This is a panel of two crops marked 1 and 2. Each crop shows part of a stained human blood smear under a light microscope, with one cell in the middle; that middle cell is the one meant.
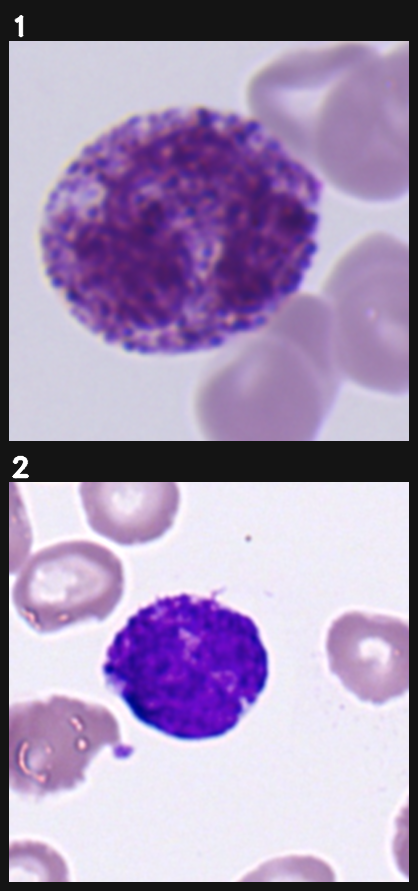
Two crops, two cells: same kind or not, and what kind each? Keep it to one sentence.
Yes, both crops, not just one, show basophils.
